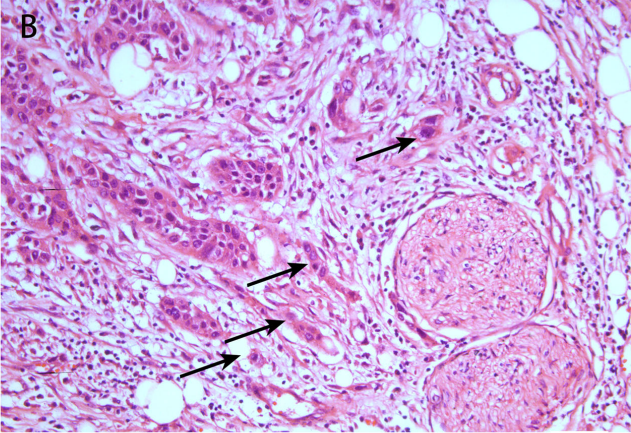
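Invasive carcinoma forming elongated, cohesive nests and cords of cells in a fibrous stroma. The tumor cells have enlarged, round to oval purple nuclei and moderate pink cytoplasm. A few small detached groups of tumor cells lie apart from the main nests in the stroma. Clear round fat cells are scattered at the top and left, and two round, circumscribed bundles of wavy pale fibers sit at the right. The stroma holds spindle cells and scattered small dark inflammatory cells.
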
